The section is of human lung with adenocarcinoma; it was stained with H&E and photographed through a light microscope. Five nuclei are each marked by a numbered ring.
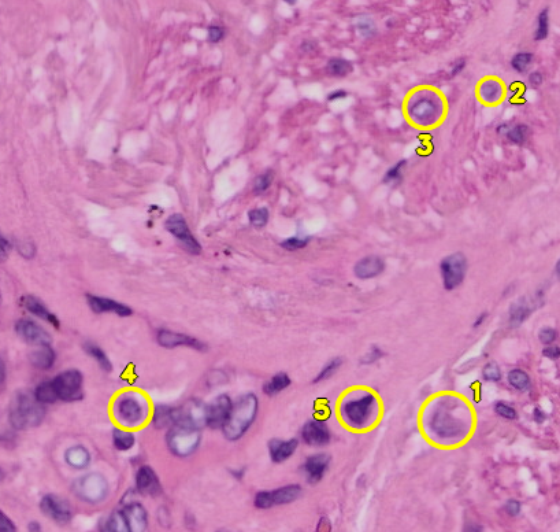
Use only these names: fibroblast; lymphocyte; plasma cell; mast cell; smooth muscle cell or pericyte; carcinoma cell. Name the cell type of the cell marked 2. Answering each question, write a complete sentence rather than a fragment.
Identified as a smooth muscle cell or pericyte is the cell bearing the number 2.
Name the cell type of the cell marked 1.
In this section, the cell tagged 1 is a fibroblast.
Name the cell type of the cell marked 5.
As for number 5, that cell is a plasma cell.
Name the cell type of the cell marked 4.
Marked with the number 4, this cell is a mast cell.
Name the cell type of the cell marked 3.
Number 3 among the marked cells is a smooth muscle cell or pericyte.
